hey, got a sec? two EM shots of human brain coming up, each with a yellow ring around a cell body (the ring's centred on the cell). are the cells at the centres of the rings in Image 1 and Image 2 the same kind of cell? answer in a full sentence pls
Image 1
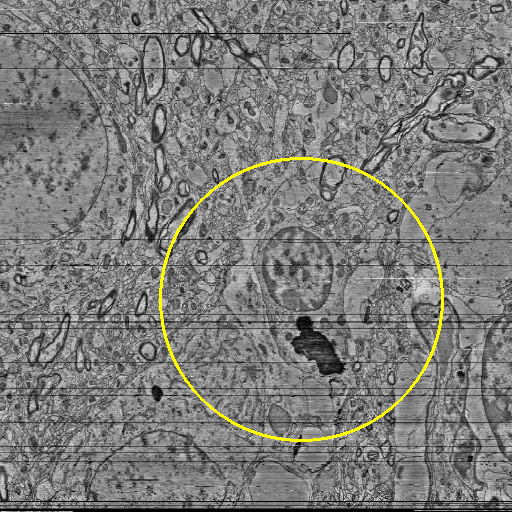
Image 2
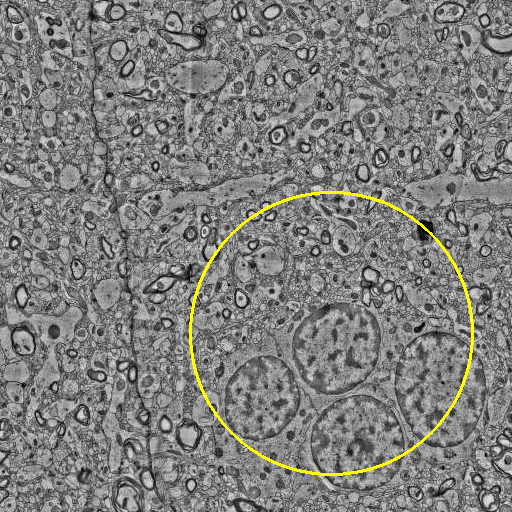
Yes, both are the same kind of cell.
